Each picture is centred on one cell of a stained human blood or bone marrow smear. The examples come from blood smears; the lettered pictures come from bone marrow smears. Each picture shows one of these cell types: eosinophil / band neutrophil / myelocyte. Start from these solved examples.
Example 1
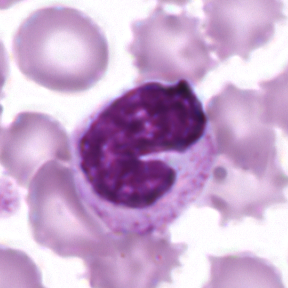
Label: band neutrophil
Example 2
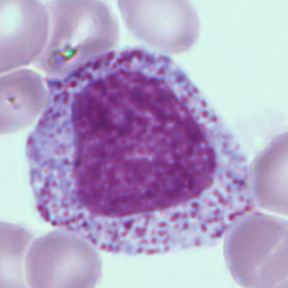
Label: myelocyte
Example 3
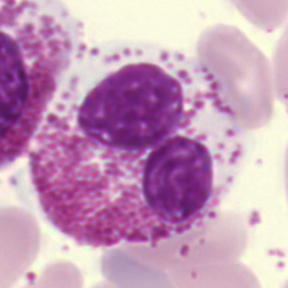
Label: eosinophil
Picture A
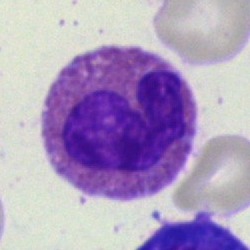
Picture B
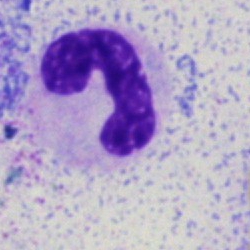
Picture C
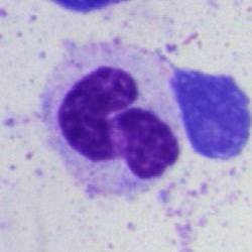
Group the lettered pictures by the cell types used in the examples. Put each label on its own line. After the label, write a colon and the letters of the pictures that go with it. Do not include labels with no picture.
eosinophil: A
band neutrophil: B, C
